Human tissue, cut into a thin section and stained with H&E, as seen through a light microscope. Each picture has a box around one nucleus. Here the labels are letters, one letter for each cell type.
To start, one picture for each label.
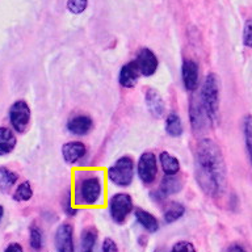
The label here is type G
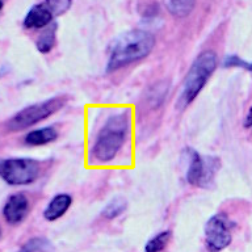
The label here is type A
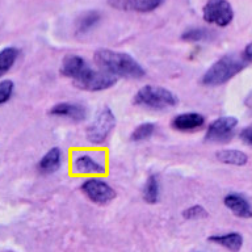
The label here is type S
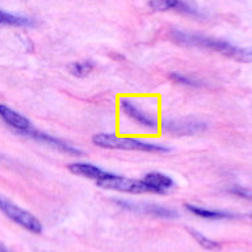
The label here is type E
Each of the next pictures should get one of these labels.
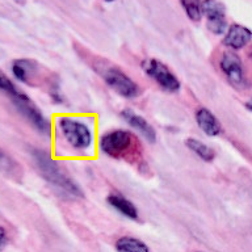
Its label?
type G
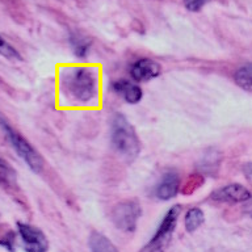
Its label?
type A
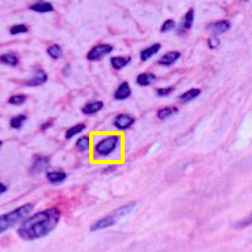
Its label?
type E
